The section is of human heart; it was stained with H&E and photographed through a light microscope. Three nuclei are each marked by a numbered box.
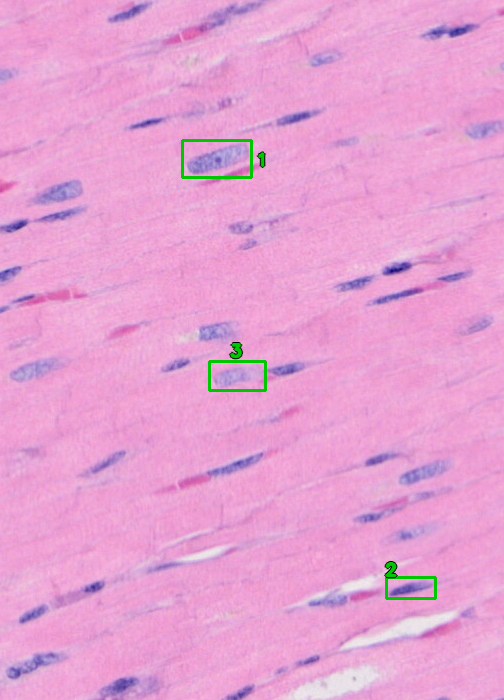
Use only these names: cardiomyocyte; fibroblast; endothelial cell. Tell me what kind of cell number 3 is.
cardiomyocyte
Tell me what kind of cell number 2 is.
fibroblast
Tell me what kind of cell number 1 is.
cardiomyocyte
